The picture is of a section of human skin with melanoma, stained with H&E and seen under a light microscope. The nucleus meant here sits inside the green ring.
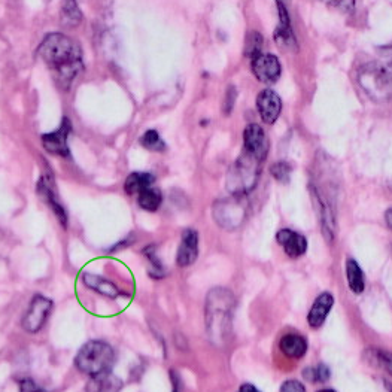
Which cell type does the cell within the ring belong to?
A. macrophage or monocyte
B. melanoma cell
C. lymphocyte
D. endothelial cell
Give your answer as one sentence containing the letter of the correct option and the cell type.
Option D is right in classifying the cell within the ring as an endothelial cell.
